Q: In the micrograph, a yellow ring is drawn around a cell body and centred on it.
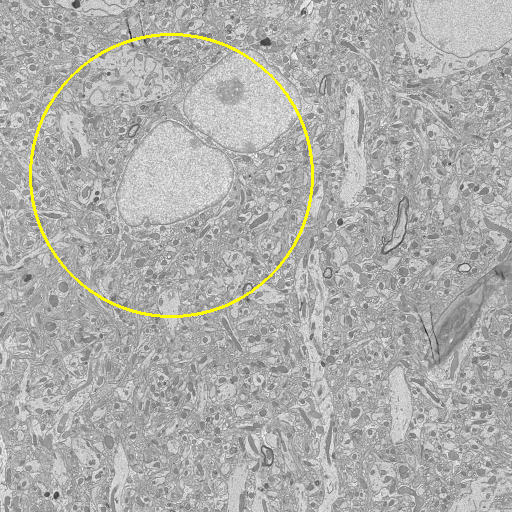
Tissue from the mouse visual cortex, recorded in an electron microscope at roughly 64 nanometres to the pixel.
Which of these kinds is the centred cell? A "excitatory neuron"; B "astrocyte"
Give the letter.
B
